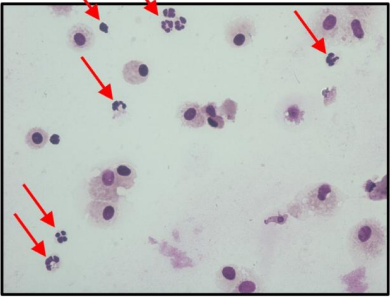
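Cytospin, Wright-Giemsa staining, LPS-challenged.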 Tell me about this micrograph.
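The larger cells are macrophages: each has one round to oval dark purple nucleus in an ample pale pink, sometimes frothy or irregular cytoplasm. Among them lie smaller neutrophils, whose dark purple nuclei are divided into several lobes, and these occur singly or in small clusters.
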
